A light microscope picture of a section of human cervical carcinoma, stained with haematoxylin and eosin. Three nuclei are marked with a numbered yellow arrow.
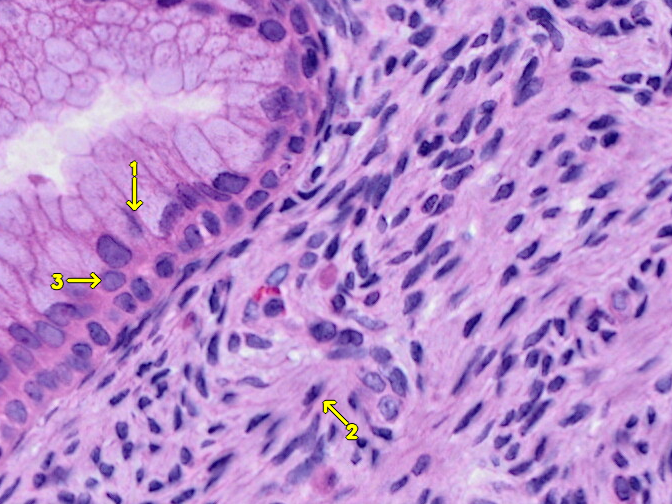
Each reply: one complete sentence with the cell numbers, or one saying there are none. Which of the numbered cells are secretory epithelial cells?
Within this tissue, the cells numbered 1 and 3 are secretory epithelial cells.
